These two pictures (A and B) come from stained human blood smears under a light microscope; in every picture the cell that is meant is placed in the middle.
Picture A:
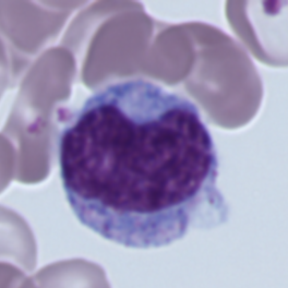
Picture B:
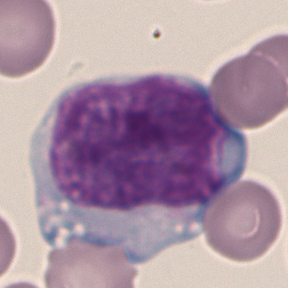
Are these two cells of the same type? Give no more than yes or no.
no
